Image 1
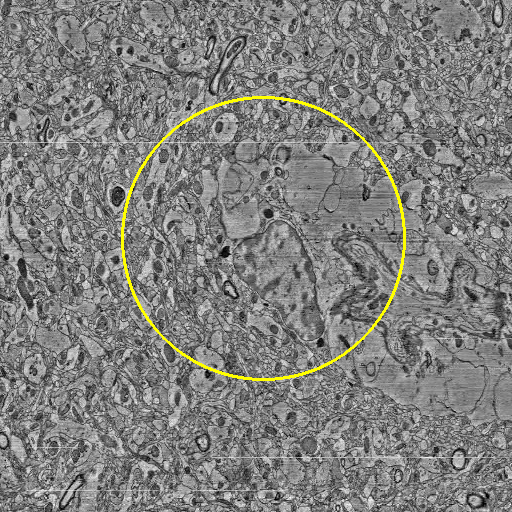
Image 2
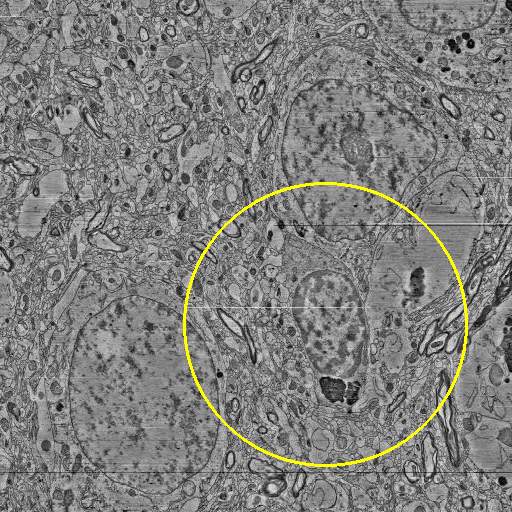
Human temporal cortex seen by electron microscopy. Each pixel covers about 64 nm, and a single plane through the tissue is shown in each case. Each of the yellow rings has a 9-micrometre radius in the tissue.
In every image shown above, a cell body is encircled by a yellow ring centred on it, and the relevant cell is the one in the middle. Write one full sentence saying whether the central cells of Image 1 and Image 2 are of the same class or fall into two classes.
The cell at the ring's centre in Image 1 and its counterpart in Image 2 fall into two classes.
